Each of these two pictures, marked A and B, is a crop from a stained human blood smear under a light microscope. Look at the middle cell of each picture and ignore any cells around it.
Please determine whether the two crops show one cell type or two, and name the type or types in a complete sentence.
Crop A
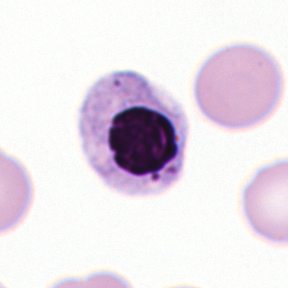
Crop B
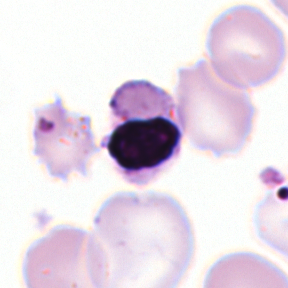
Yes, the cells under consideration in both crops are normoblasts.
